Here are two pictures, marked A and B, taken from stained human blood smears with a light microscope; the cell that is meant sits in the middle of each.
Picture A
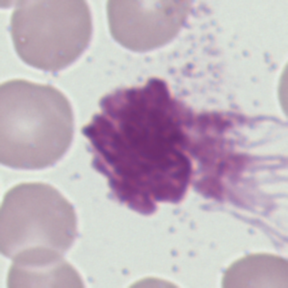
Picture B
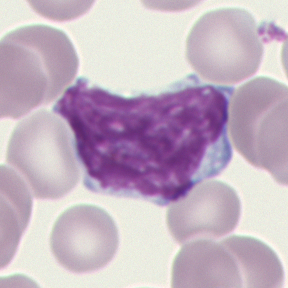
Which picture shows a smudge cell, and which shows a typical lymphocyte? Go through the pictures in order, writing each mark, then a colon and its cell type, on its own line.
A: smudge cell
B: typical lymphocyte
